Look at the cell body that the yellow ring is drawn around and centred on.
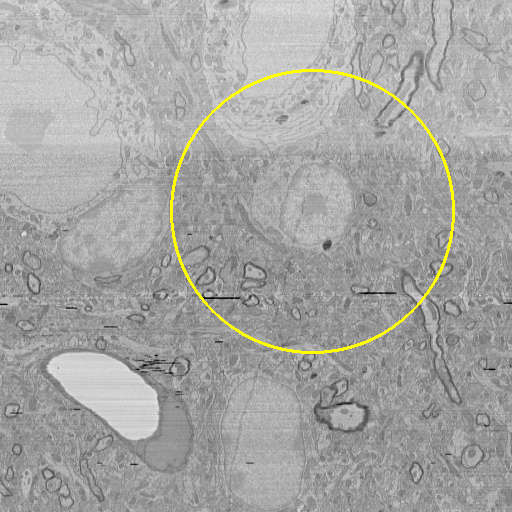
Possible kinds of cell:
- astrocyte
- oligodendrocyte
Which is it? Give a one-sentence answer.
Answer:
The centred cell body is that of an oligodendrocyte.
